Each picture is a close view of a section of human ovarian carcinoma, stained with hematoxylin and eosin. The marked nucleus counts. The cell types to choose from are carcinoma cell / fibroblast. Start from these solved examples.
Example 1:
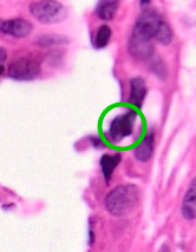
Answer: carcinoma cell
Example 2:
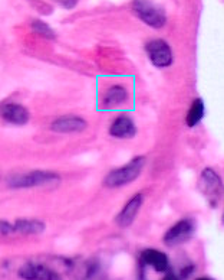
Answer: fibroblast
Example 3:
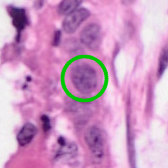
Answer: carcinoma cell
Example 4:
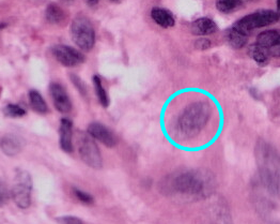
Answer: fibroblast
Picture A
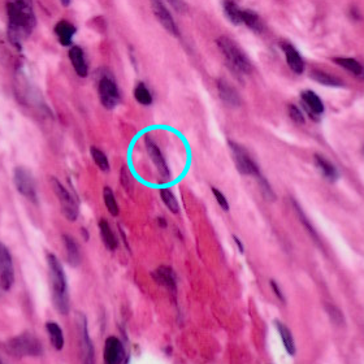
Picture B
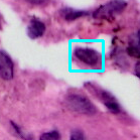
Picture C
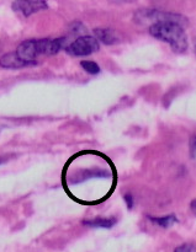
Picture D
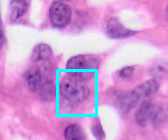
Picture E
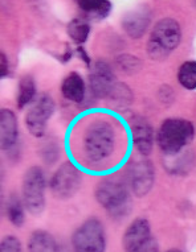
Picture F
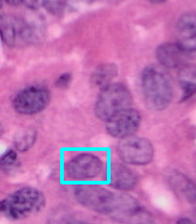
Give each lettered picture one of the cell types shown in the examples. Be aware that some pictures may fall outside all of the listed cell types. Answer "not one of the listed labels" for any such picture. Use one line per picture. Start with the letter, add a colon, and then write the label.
A: fibroblast
B: carcinoma cell
C: fibroblast
D: carcinoma cell
E: carcinoma cell
F: carcinoma cell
